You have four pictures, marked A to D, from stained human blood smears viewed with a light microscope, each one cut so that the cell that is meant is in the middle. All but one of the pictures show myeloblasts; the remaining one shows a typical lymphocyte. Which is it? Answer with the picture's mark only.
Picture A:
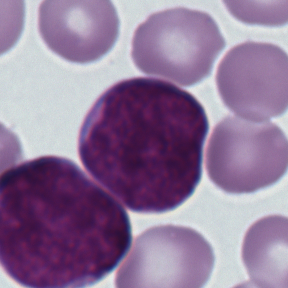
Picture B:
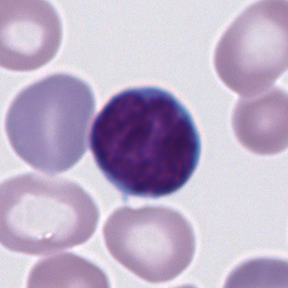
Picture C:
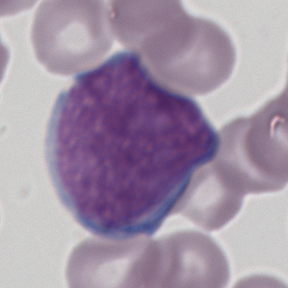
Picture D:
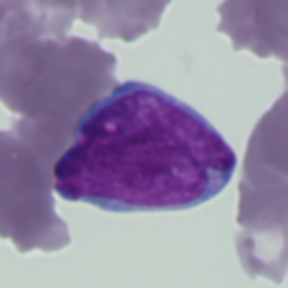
B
